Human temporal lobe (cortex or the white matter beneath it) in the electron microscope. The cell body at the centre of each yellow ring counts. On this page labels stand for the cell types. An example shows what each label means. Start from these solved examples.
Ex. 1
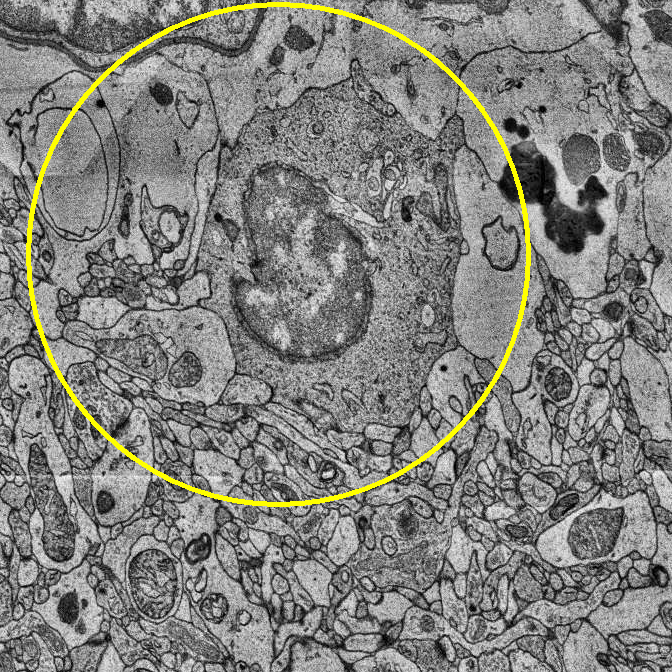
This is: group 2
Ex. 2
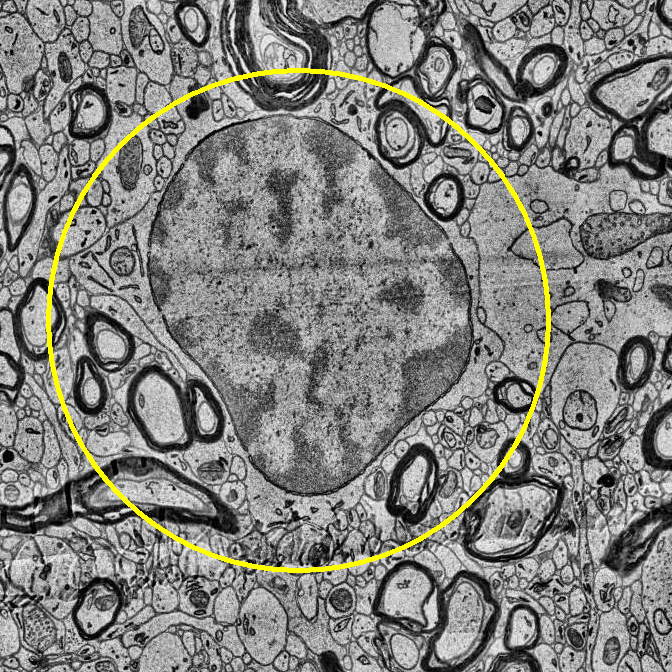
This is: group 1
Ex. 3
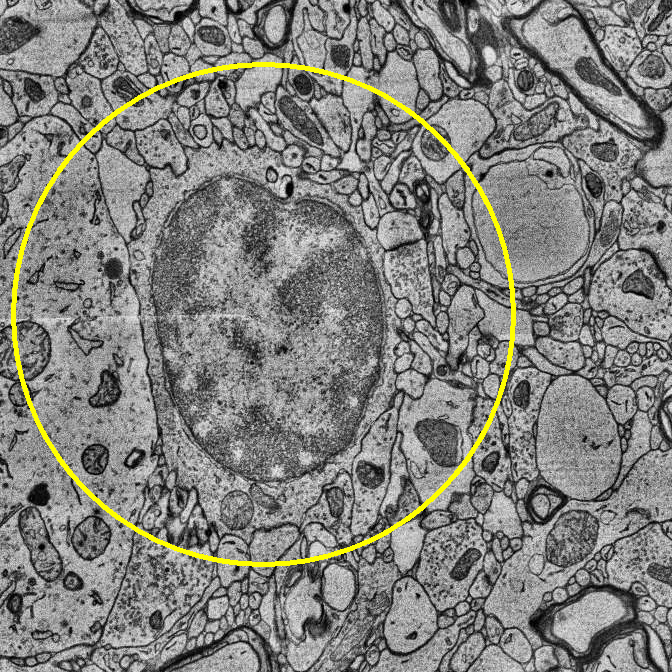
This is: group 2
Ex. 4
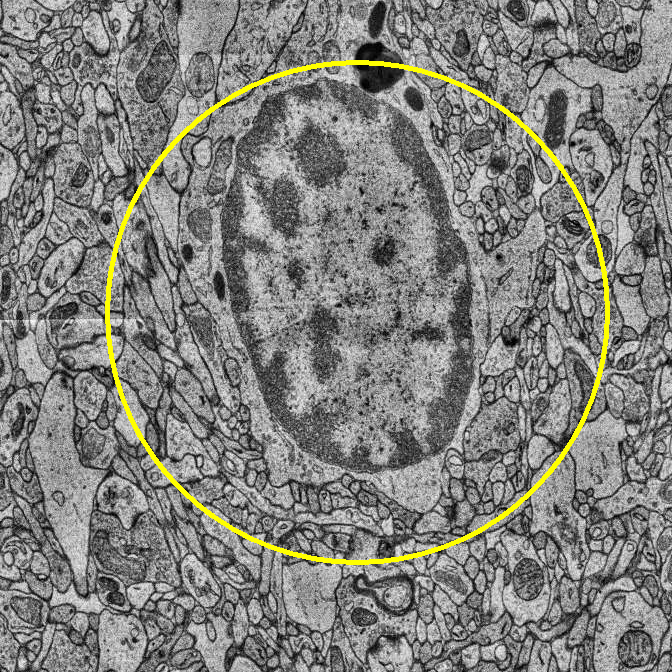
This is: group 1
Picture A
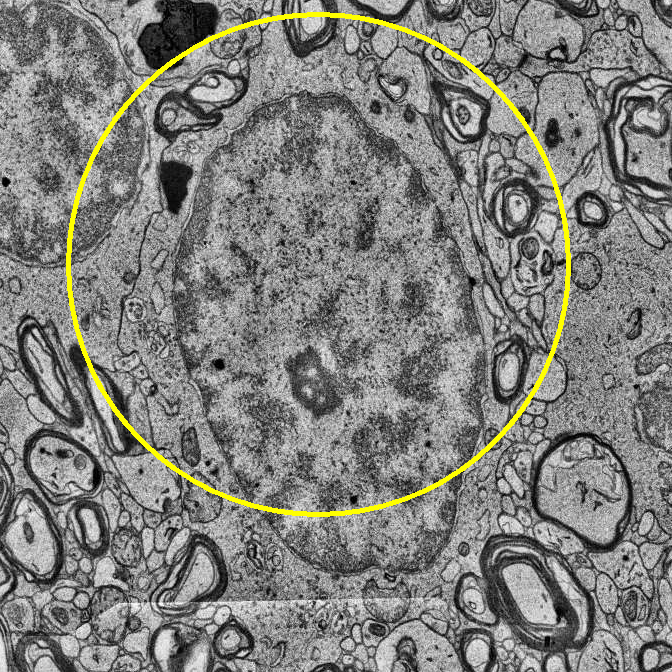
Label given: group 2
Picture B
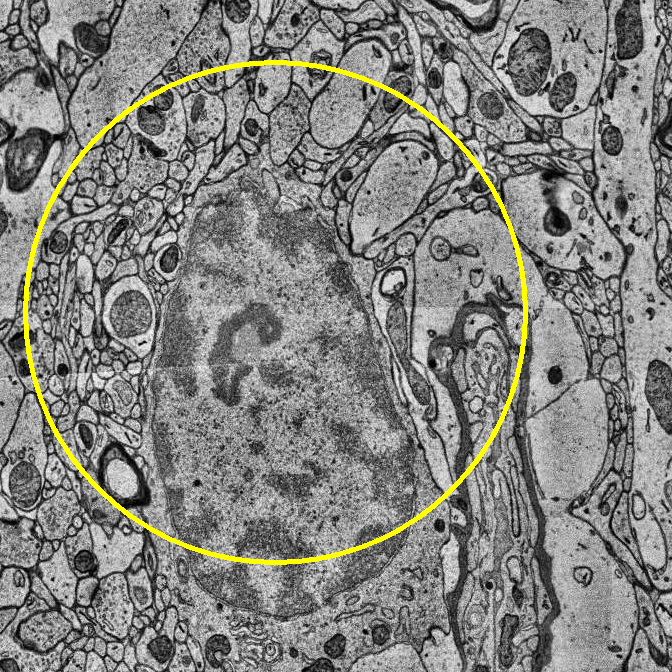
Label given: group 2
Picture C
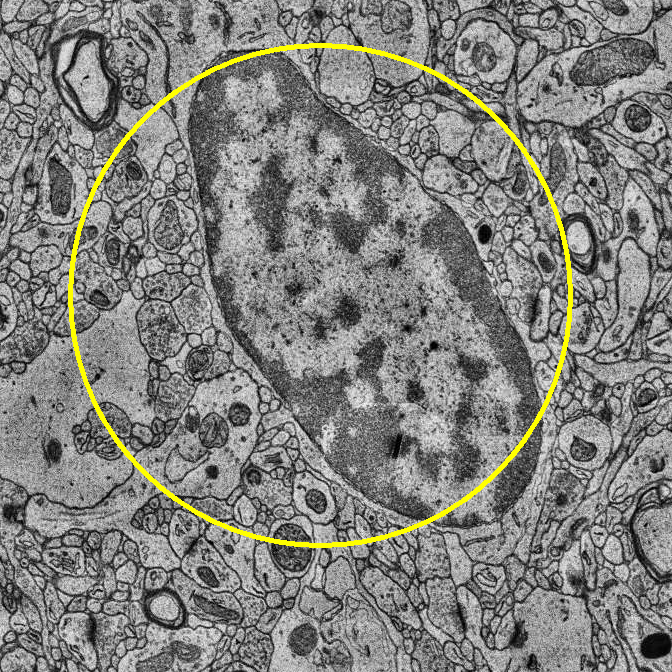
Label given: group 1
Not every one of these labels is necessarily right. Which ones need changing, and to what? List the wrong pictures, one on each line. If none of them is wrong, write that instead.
Nothing to fix; every label fits.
